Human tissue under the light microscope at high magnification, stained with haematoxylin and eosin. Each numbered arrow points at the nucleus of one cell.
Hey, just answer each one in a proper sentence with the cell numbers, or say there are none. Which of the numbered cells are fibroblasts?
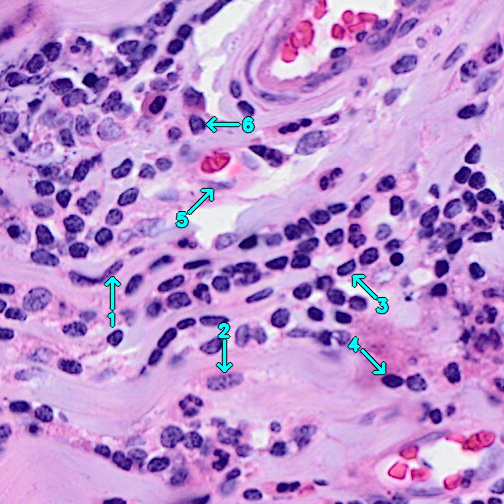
Across all the numbered cells, fibroblasts are absent.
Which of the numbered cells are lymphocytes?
Cells 1, 3, 4 and 6 share one type; they are lymphocytes.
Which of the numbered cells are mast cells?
Whereas cell 2 is a mast cell, the other numbered cells are not.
